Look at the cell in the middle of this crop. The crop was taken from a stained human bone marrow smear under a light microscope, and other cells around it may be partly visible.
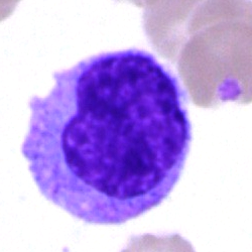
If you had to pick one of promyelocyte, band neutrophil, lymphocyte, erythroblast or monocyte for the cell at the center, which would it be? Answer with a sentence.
In short, the cell at the center is a monocyte.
